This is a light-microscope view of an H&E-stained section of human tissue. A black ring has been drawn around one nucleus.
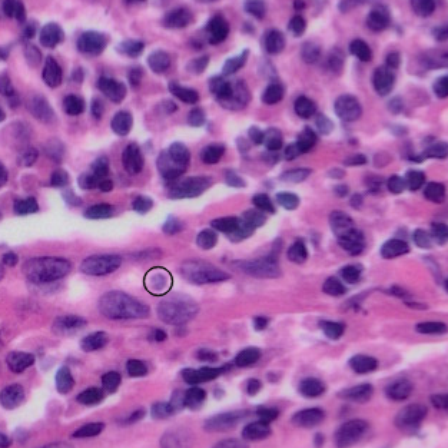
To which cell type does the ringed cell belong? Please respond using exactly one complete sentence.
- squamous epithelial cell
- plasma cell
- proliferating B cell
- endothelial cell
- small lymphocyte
Histopathologically, the ringed cell is an endothelial cell.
